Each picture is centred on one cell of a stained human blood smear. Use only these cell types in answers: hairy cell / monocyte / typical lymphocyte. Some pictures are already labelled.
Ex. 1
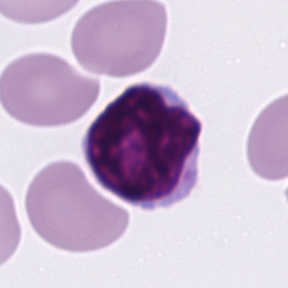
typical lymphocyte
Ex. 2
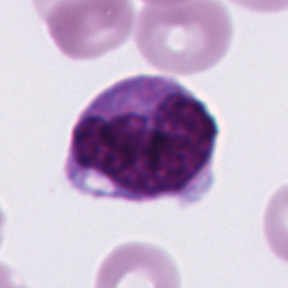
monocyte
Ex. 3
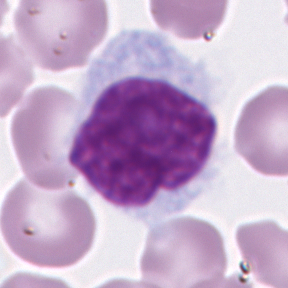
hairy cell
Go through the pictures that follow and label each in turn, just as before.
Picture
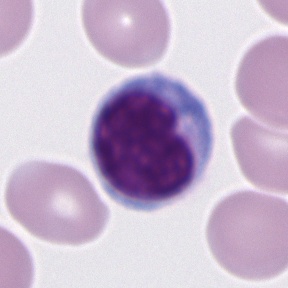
typical lymphocyte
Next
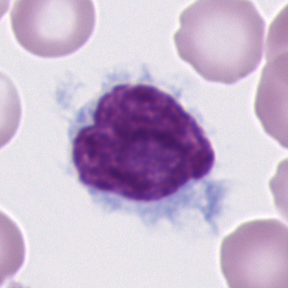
hairy cell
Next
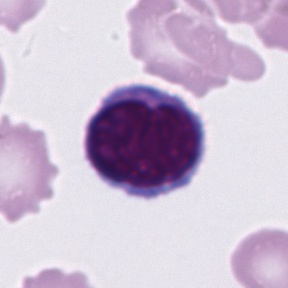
typical lymphocyte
